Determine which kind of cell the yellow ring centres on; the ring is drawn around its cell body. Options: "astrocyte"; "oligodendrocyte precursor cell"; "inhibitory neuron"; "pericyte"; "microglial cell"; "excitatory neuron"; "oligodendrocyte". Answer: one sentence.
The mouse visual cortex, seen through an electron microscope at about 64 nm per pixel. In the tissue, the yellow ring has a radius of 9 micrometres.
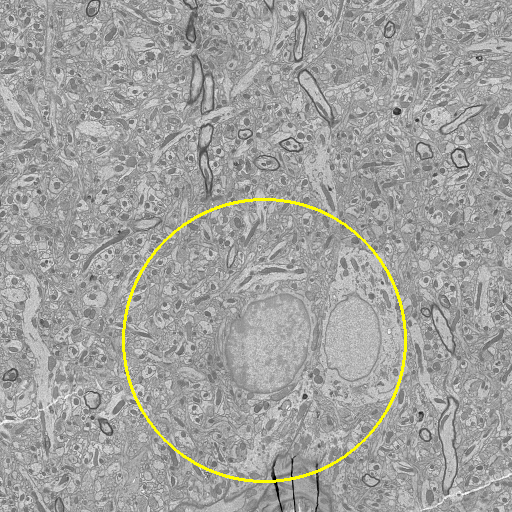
The ring centres on an oligodendrocyte.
